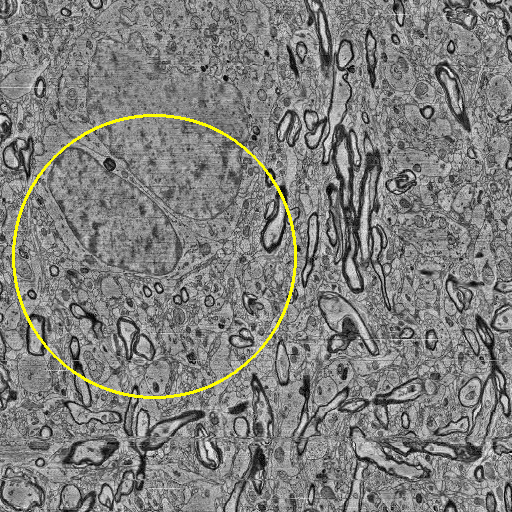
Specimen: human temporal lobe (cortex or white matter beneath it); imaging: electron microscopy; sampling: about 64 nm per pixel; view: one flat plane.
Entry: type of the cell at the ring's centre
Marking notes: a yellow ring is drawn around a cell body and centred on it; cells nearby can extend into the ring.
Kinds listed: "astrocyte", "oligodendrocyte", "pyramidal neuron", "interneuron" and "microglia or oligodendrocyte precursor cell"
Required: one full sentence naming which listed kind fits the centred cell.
My entry names a microglial cell or oligodendrocyte precursor cell as the cell whose body the yellow ring centres on.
